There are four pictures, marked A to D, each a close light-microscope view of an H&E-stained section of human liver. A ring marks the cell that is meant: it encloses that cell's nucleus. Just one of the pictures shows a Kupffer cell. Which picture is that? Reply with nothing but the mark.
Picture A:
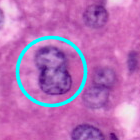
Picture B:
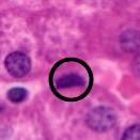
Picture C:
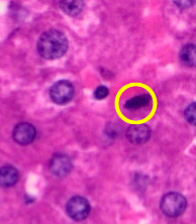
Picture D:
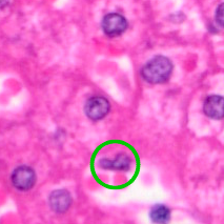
D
